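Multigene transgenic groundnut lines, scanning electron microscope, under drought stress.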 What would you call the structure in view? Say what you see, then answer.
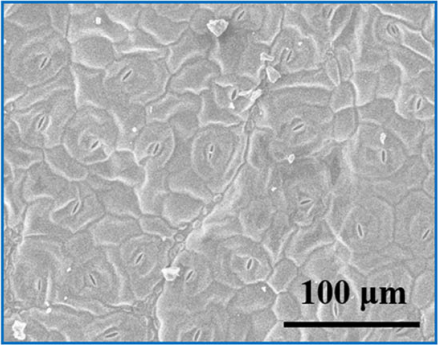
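Stomata. Many small slit-shaped pores are scattered over the surface. Each slit sits within a rounded, slightly raised outline. The slits lie among larger polygonal cells with wavy borders.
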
